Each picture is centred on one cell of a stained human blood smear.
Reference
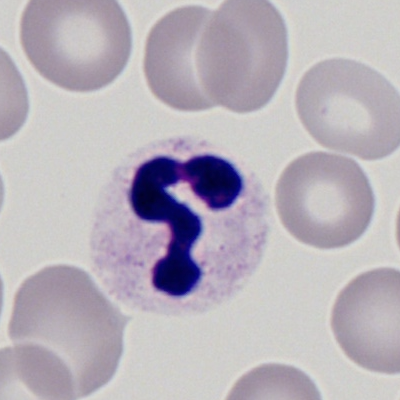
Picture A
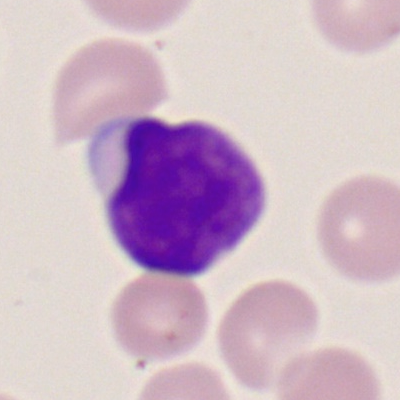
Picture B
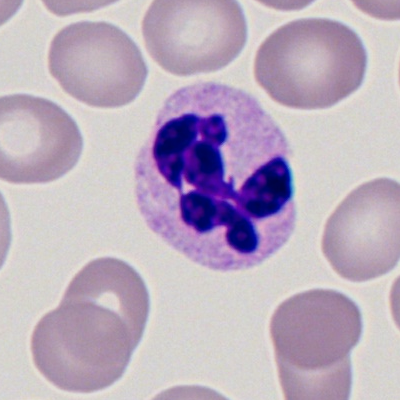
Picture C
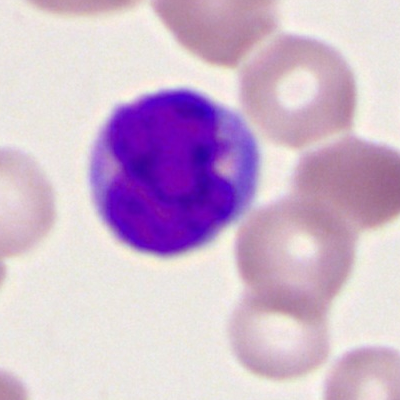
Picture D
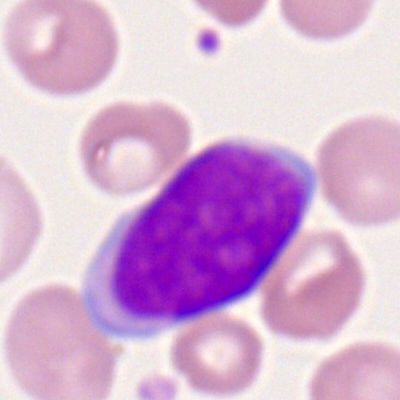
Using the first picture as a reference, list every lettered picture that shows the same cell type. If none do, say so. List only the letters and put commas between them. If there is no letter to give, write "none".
B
